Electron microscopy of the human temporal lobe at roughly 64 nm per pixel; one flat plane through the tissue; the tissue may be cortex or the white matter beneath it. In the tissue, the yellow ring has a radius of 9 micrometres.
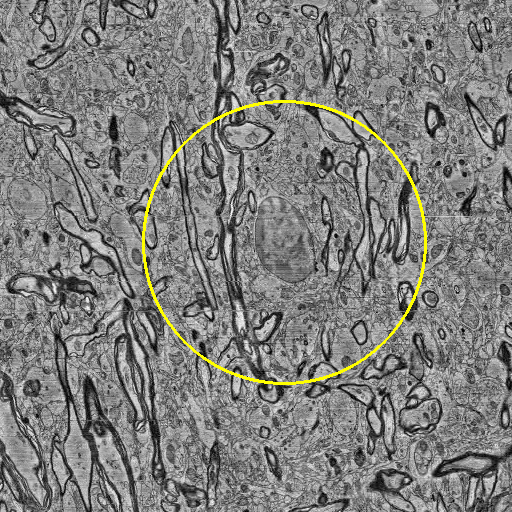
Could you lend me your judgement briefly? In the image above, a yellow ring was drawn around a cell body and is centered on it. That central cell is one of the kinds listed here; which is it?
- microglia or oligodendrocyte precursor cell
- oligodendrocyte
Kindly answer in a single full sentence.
Going by the list, a microglial cell or oligodendrocyte precursor cell is the kind at the ring's center in the picture.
